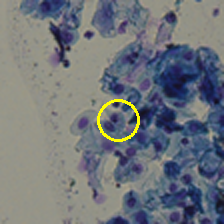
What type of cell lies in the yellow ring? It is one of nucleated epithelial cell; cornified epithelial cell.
The ringed cell is a nucleated epithelial cell.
